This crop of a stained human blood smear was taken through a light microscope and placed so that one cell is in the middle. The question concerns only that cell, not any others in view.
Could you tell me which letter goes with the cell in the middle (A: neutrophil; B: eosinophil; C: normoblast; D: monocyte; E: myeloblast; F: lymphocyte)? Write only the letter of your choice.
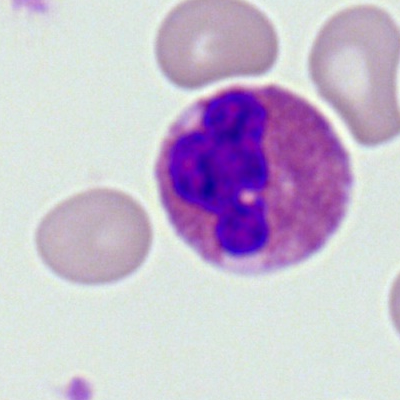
B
